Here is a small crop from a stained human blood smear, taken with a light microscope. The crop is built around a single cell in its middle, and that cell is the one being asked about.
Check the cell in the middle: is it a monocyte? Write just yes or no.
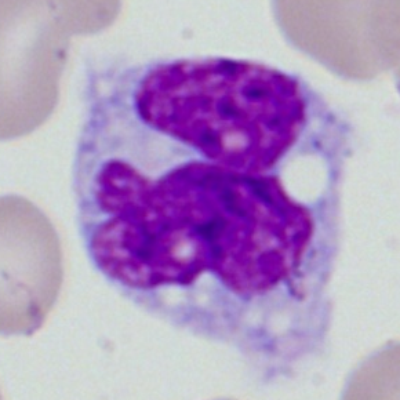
yes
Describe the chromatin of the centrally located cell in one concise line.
Its chromatin is clumped in a coarse pattern.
